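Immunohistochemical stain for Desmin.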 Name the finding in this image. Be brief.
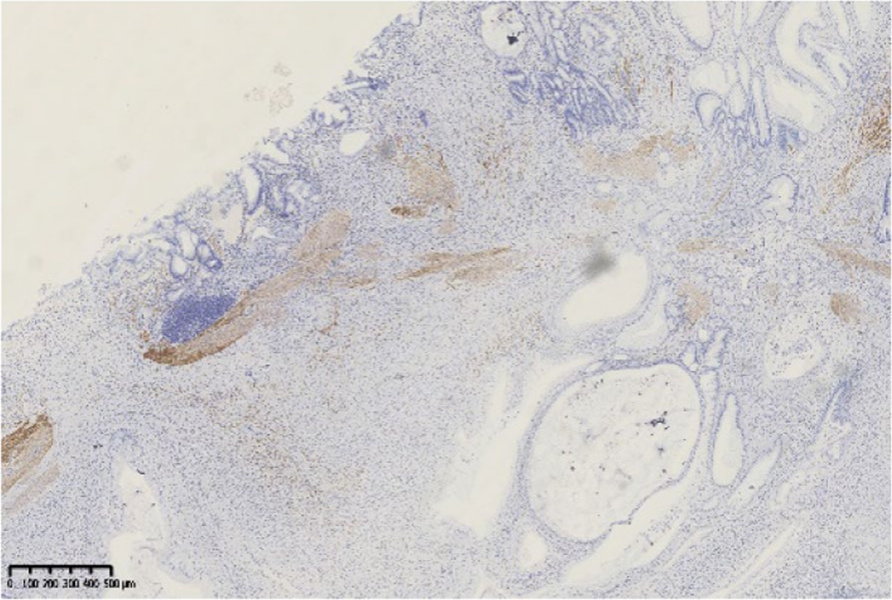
Defects of the muscularis mucosa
